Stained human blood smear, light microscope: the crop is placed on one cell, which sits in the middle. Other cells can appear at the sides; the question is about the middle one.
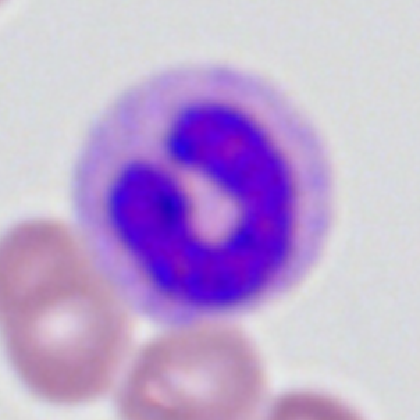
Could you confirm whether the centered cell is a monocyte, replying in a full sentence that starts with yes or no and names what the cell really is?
No, the central cell is a band neutrophil; it should not be labelled a monocyte.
